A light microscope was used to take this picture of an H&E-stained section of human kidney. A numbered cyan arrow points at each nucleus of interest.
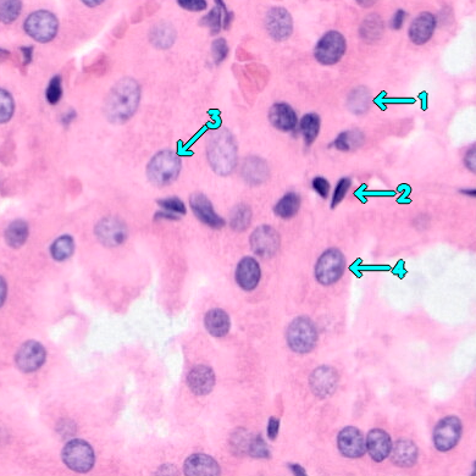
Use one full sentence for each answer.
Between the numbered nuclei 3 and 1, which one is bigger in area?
The larger nucleus is 3, at roughly 2 times the area of 1.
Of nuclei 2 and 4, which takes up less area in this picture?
Nucleus 2 is the smaller one; nucleus 4 covers about 2.5 times its area.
